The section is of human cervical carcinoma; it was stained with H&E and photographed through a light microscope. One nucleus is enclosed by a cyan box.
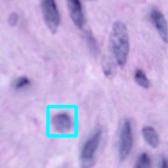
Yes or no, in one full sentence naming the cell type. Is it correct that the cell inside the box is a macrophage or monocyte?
No, within this section, the cell inside the box is categorized as a fibroblast rather than a macrophage or monocyte.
